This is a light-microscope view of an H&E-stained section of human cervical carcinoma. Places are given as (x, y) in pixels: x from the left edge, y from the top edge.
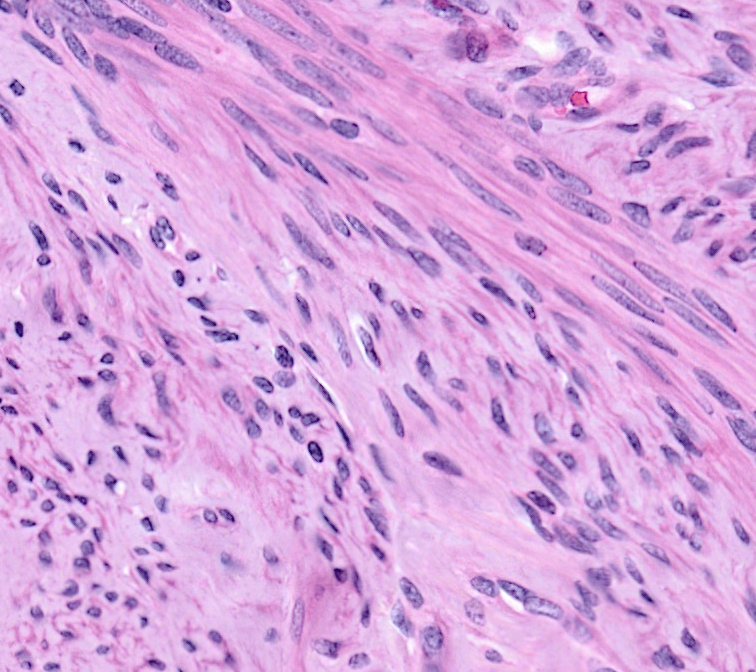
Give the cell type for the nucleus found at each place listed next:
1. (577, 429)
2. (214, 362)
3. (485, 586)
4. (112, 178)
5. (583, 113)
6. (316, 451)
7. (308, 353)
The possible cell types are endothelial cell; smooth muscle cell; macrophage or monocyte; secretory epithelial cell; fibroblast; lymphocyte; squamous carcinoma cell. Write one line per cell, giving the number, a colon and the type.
1: smooth muscle cell
2: smooth muscle cell
3: endothelial cell
4: fibroblast
5: endothelial cell
6: lymphocyte
7: fibroblast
